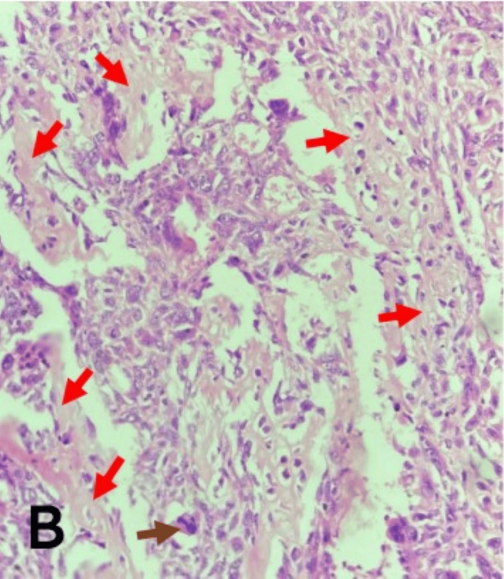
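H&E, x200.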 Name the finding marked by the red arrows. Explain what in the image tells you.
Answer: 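Pink glassy matrix strands and patches between atypical cells. Some cells sit within spaces inside the pink matrix.
Answer: malignant osteoid deposition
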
